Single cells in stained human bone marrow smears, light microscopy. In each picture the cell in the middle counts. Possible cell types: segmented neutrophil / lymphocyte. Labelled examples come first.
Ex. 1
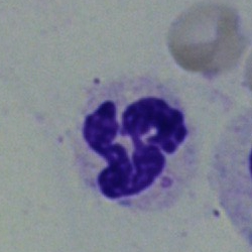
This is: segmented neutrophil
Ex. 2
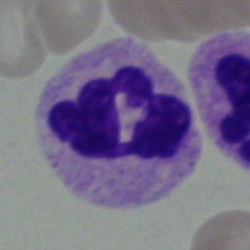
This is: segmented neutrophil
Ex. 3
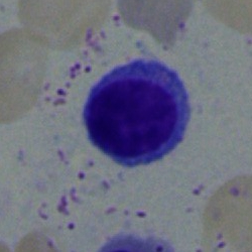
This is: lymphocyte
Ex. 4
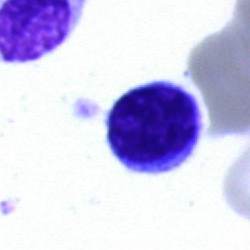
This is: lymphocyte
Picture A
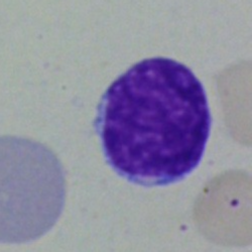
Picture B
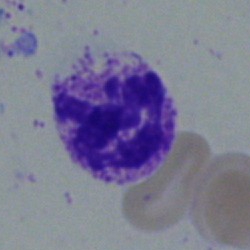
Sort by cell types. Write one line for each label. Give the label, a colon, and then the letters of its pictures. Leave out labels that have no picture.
segmented neutrophil: B
lymphocyte: A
